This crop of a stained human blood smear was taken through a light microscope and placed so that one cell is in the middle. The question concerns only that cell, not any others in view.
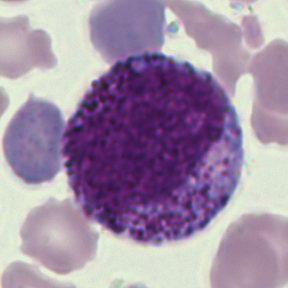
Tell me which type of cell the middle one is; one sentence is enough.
The cell at the centre of the field is a promyelocyte.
